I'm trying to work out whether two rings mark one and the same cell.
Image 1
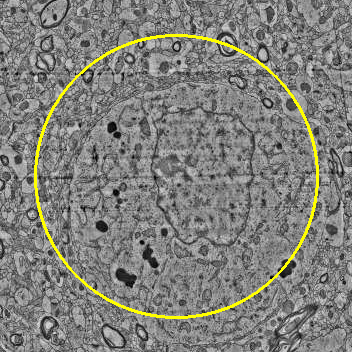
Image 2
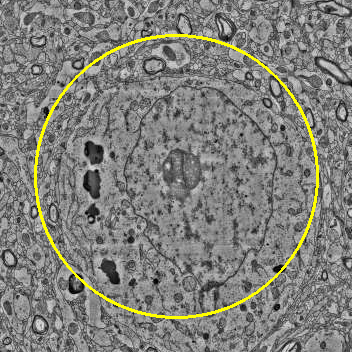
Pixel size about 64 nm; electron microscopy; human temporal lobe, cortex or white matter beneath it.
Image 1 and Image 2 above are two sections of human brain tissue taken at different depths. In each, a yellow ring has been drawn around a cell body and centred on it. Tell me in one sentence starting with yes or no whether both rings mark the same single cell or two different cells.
Yes, both rings identify a single, shared cell.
